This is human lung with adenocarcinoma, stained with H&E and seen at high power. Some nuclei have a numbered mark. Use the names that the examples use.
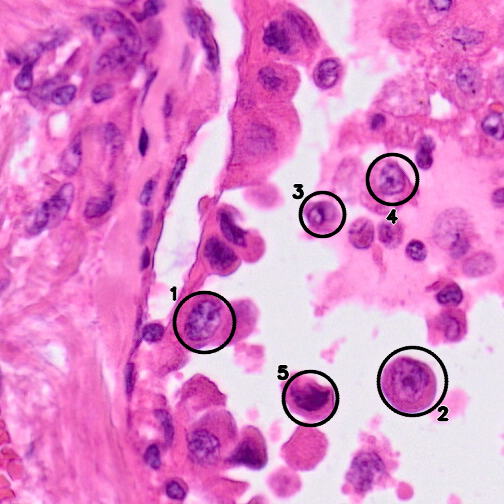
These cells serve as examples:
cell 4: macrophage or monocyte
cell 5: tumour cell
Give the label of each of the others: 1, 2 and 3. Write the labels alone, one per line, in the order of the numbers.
tumour cell
tumour cell
macrophage or monocyte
